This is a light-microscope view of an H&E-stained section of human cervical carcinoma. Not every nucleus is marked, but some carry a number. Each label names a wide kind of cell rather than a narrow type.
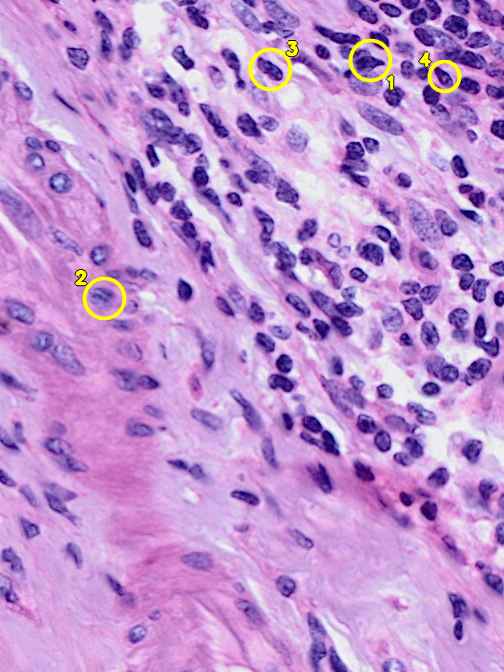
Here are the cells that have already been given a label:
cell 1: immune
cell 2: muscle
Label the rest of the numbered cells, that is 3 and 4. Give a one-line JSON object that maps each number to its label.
{"3": "immune", "4": "immune"}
